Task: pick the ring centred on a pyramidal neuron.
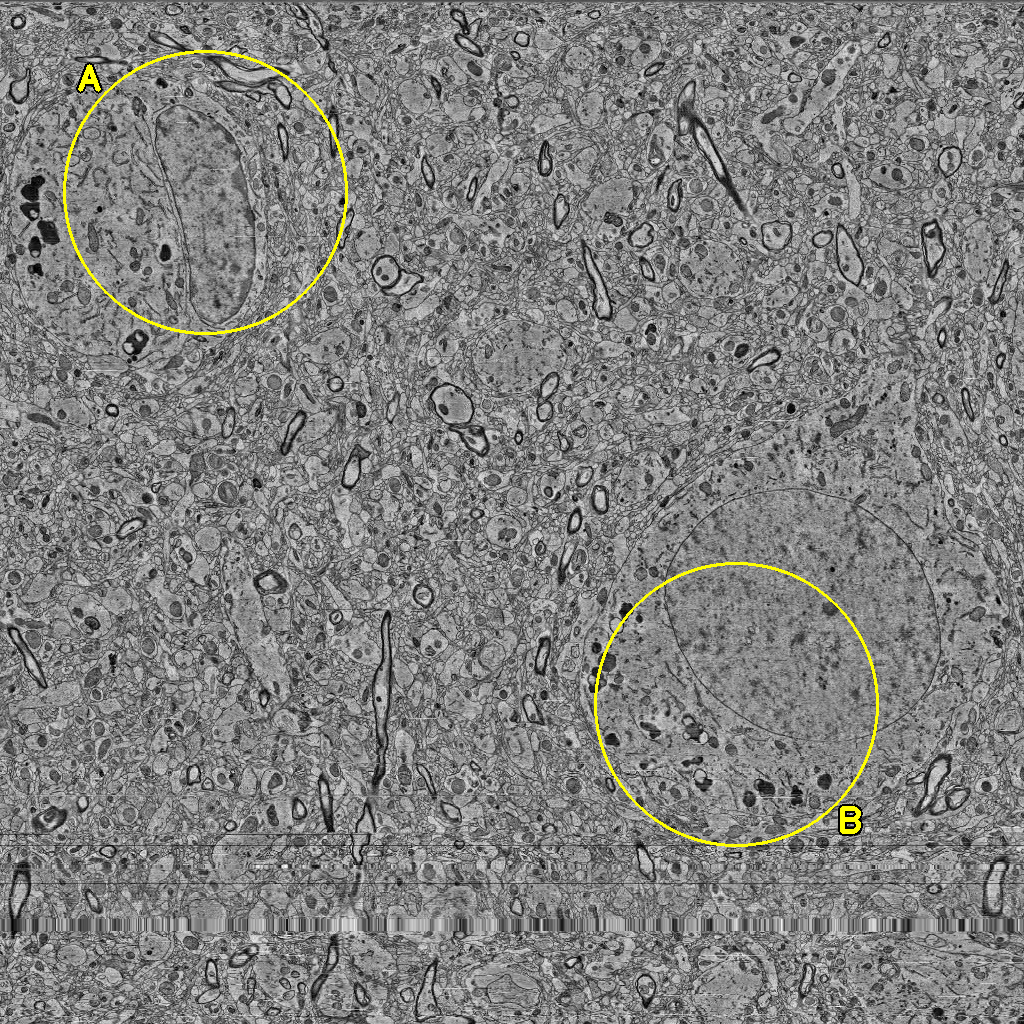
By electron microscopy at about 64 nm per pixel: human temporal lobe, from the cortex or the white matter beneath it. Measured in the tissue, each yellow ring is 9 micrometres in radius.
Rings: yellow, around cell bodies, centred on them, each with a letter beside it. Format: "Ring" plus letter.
Ring B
